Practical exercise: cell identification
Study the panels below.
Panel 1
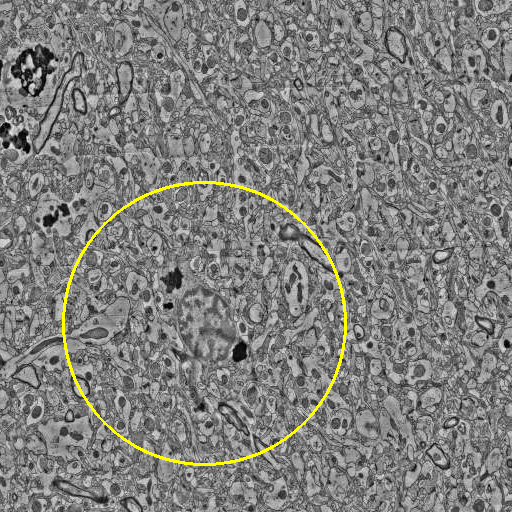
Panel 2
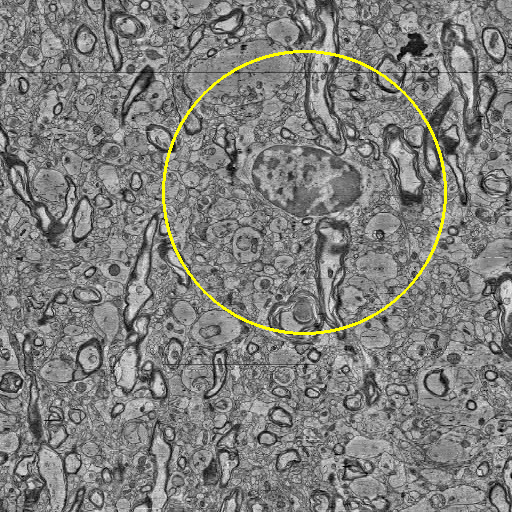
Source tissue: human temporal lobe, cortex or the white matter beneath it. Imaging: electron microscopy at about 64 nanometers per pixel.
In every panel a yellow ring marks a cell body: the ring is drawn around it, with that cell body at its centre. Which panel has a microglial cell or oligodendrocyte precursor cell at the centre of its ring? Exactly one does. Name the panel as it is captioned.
Panel 2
